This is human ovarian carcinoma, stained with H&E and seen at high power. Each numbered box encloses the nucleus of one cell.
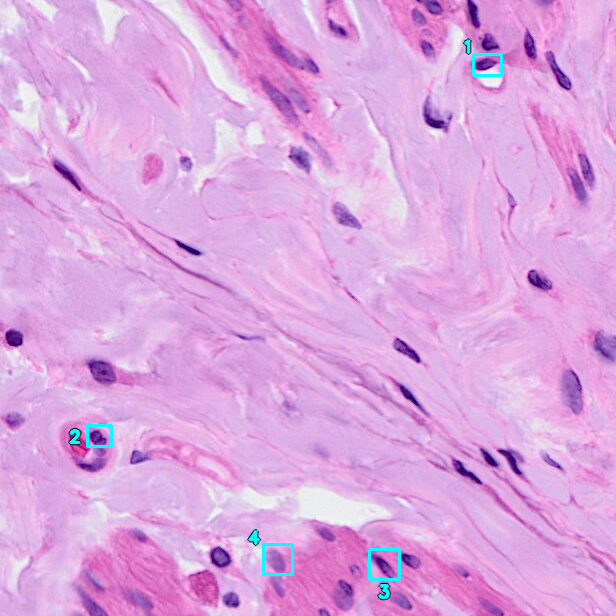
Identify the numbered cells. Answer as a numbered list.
1. endothelial cell
2. endothelial cell
3. smooth muscle cell
4. smooth muscle cell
